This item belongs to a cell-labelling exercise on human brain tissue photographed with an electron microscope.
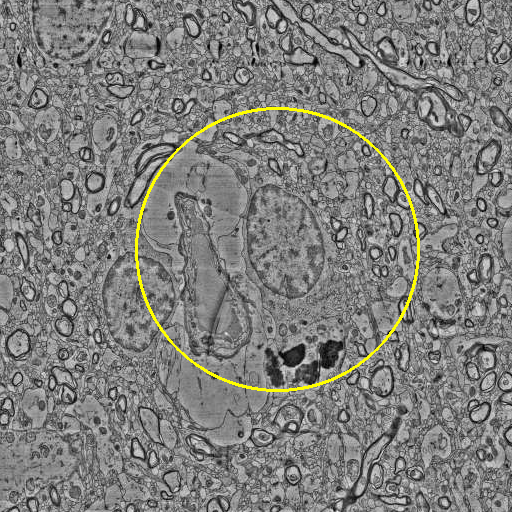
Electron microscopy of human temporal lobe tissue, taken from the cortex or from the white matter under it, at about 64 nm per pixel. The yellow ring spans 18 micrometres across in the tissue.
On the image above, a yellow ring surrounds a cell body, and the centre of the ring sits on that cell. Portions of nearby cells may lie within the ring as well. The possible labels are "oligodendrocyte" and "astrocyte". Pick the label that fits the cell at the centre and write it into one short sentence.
This cell should be labelled as an oligodendrocyte.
